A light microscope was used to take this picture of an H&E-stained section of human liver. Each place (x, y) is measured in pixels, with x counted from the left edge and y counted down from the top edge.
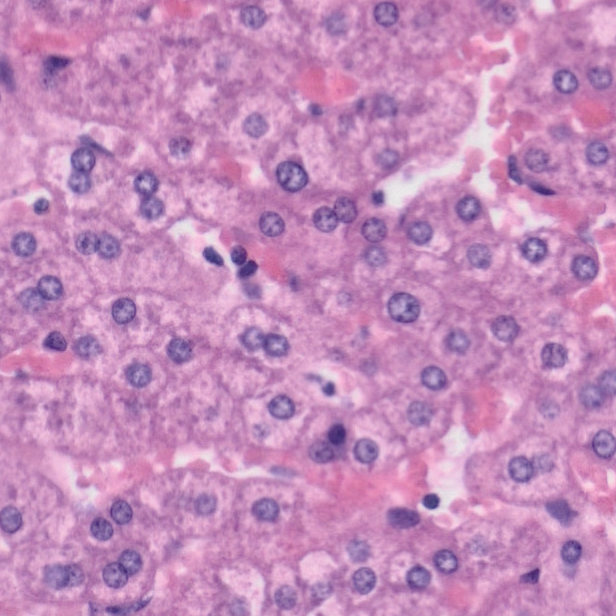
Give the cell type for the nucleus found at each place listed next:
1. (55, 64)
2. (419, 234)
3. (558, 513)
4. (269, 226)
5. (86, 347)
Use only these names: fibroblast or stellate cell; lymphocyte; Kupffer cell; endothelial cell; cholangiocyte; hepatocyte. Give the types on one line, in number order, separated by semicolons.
fibroblast or stellate cell; hepatocyte; endothelial cell; hepatocyte; hepatocyte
